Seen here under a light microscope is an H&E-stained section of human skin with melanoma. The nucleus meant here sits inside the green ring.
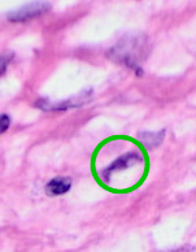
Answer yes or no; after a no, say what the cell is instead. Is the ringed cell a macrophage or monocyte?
No, it is a fibroblast or myofibroblast.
